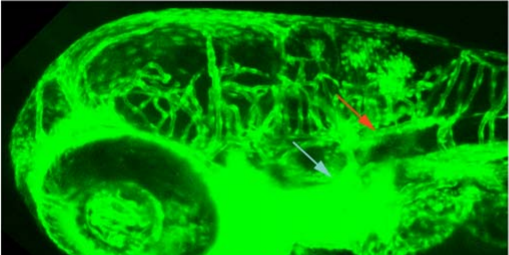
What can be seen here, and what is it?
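Lateral view of the head vasculature of a zebrafish embryo, with green blood vessels outlining the brain and eye. Vessels form a regular network over the brain, and a dense bright mass of vessels lies behind and below the eye, with a vessel running back along the ventral hindbrain.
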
